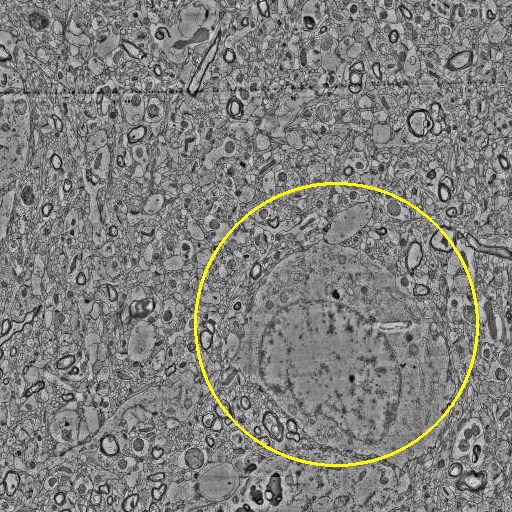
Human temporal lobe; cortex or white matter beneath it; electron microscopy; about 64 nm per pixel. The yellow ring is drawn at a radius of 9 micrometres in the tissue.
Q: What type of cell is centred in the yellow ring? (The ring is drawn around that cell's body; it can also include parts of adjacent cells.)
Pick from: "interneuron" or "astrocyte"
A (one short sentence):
The yellow ring is centred on an interneuron.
